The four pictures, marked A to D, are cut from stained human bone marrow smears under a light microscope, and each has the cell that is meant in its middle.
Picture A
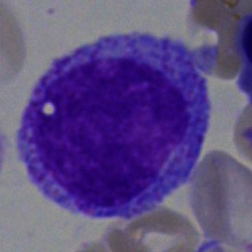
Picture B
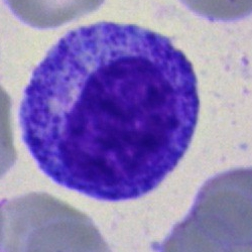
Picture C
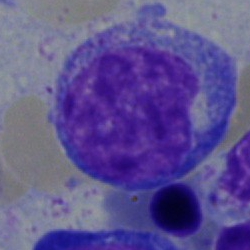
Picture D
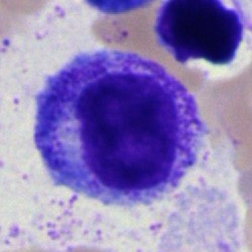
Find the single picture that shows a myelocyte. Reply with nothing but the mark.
D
